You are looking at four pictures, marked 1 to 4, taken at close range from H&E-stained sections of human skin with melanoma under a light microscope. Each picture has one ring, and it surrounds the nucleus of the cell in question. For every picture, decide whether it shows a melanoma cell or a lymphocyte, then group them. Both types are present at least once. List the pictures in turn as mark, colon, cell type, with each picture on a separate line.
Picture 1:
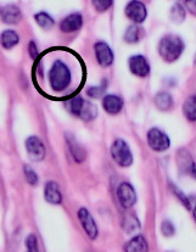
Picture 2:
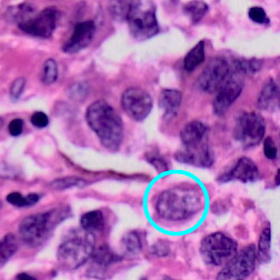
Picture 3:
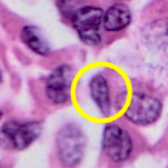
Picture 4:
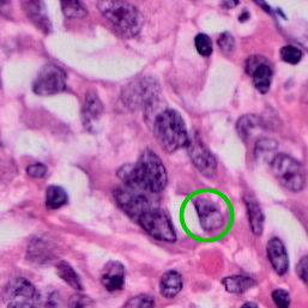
1: lymphocyte
2: melanoma cell
3: melanoma cell
4: melanoma cell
